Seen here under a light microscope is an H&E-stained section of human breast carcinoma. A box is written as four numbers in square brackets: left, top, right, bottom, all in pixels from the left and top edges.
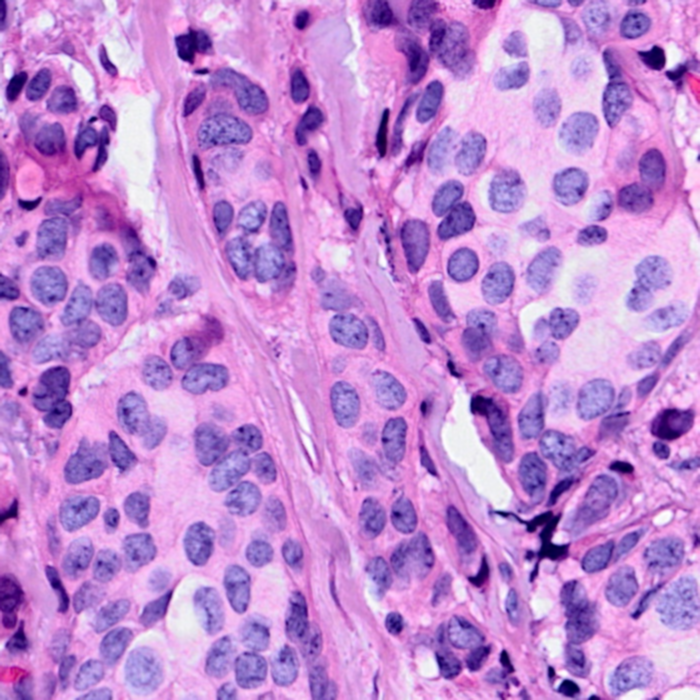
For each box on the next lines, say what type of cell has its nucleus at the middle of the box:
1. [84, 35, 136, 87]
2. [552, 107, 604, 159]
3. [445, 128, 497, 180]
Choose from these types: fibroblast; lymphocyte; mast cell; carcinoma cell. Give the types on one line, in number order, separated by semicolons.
fibroblast; carcinoma cell; carcinoma cell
